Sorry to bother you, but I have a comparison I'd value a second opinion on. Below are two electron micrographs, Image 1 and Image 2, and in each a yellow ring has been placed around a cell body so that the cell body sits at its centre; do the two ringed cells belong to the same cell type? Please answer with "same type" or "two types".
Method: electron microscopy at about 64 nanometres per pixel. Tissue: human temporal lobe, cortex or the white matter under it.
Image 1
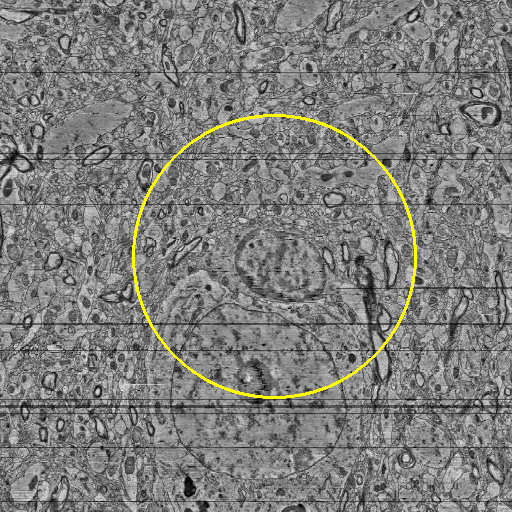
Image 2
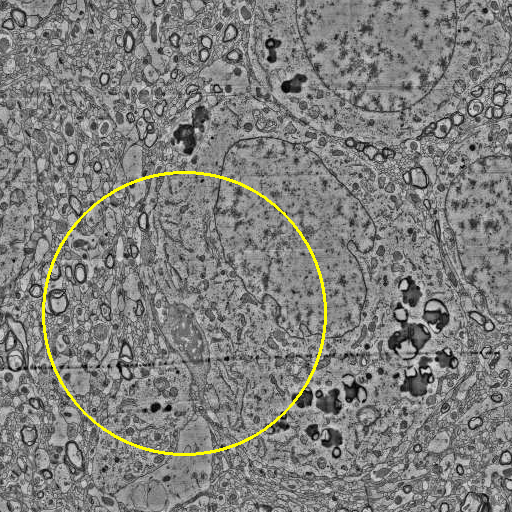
same type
